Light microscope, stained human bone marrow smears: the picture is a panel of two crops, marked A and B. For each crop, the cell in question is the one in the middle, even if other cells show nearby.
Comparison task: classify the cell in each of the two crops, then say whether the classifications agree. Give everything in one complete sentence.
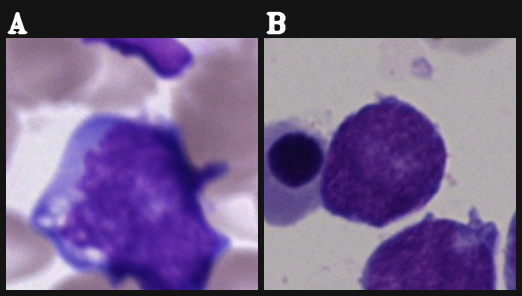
Yes, both of the crops show blasts.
